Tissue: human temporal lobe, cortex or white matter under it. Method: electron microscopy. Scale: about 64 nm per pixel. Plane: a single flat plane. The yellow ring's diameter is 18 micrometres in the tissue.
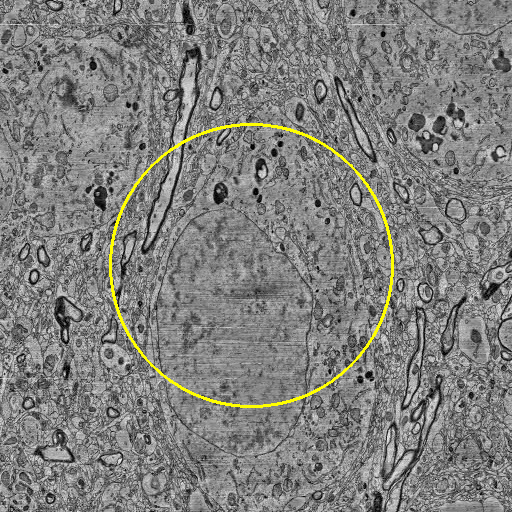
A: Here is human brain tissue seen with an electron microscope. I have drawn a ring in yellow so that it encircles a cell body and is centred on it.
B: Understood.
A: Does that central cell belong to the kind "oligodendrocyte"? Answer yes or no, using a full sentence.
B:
No, the central cell inside your yellow ring belongs to another kind.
